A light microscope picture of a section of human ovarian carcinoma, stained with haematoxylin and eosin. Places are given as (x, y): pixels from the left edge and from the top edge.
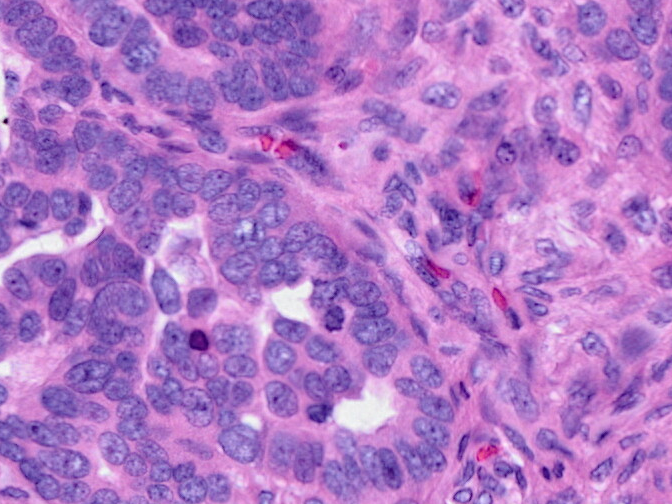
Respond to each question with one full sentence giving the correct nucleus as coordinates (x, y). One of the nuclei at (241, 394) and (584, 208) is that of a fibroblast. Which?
Of the two, the nucleus lying at (584, 208) is the one belonging to a fibroblast.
